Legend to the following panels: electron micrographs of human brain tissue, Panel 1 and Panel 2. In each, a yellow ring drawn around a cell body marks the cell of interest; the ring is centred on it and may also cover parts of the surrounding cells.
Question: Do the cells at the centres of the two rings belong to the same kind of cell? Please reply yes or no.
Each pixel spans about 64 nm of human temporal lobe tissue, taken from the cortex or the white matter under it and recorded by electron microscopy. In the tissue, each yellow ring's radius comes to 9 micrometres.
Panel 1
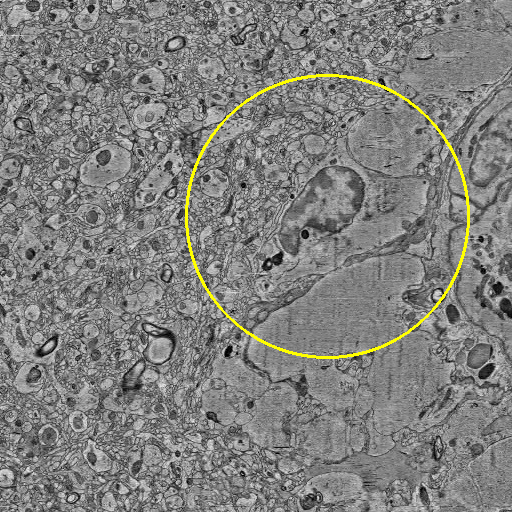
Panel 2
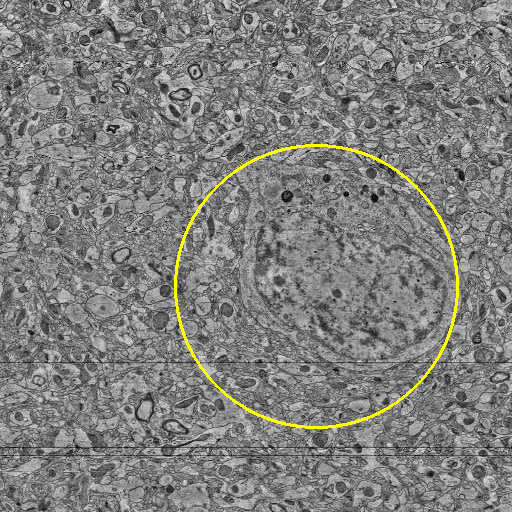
no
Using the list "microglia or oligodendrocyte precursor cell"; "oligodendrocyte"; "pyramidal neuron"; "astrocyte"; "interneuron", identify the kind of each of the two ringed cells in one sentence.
The first is a microglial cell or oligodendrocyte precursor cell and the second is an interneuron.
